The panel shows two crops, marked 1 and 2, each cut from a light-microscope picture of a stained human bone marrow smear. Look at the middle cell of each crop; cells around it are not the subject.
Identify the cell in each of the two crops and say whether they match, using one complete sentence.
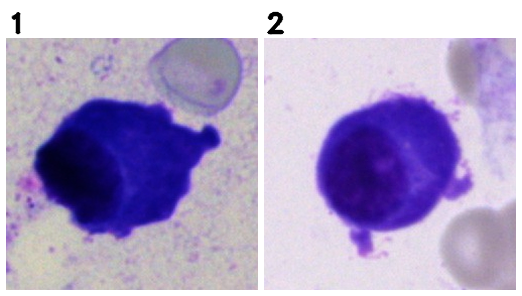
Yes, the two central cells, one per crop, are plasma cells.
